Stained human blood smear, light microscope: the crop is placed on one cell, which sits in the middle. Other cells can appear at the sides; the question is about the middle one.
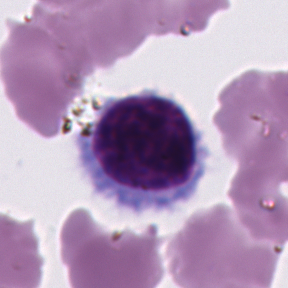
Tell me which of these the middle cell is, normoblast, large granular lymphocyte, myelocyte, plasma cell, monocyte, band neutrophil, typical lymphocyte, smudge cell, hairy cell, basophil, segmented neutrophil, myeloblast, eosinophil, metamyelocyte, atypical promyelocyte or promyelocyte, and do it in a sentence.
The cell at the centre of the field is a hairy cell.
